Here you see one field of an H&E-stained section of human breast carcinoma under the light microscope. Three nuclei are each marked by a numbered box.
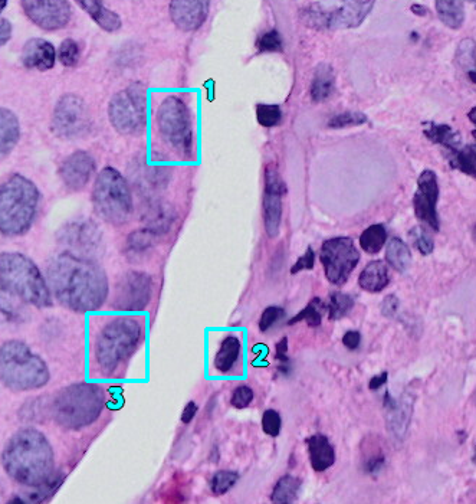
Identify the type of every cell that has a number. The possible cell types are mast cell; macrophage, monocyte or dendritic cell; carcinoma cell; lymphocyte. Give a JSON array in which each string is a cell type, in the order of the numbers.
["carcinoma cell", "lymphocyte", "carcinoma cell"]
